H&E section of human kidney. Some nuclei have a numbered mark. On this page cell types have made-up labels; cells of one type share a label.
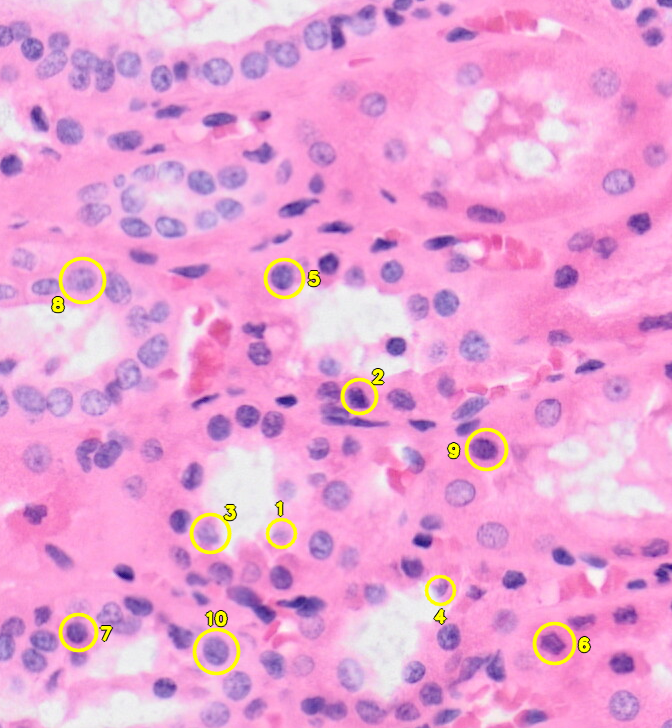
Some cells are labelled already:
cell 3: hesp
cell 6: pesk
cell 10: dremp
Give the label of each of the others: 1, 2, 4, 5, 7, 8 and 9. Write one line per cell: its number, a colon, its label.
1: hesp
2: hesp
4: hesp
5: hesp
7: dremp
8: dremp
9: pesk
